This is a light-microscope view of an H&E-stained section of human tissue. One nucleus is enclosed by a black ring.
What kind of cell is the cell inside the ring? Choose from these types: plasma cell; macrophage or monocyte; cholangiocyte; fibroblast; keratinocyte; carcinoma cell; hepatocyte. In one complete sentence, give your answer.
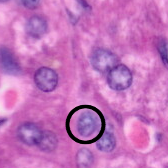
The expected answer is simply that the cell inside the ring is a cholangiocyte.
